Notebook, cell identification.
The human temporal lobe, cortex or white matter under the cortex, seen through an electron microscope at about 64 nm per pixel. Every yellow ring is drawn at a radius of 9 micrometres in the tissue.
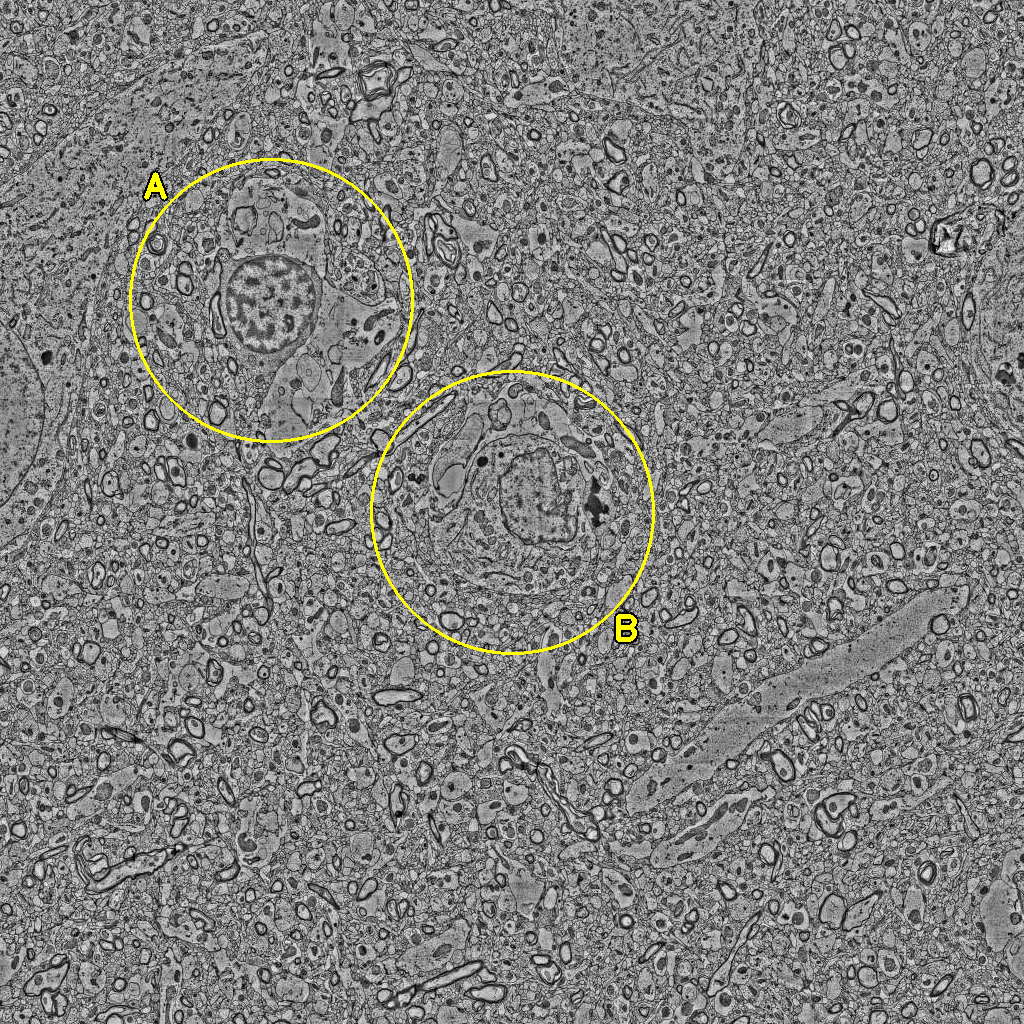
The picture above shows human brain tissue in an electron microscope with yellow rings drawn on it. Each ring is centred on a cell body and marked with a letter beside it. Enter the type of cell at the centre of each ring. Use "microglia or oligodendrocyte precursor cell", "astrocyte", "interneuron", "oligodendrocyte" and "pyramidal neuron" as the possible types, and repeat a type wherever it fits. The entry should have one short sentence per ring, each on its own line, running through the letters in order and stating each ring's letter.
The cell body in ring A belongs to an oligodendrocyte.
The cell body in ring B belongs to an interneuron.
